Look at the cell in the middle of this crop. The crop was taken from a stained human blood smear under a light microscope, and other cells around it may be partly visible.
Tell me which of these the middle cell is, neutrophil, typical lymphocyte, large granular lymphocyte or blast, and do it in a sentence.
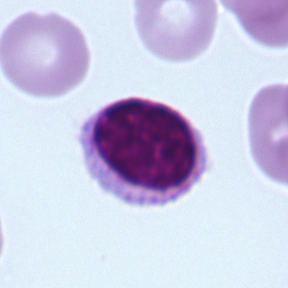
The middle of this crop is occupied by a typical lymphocyte.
